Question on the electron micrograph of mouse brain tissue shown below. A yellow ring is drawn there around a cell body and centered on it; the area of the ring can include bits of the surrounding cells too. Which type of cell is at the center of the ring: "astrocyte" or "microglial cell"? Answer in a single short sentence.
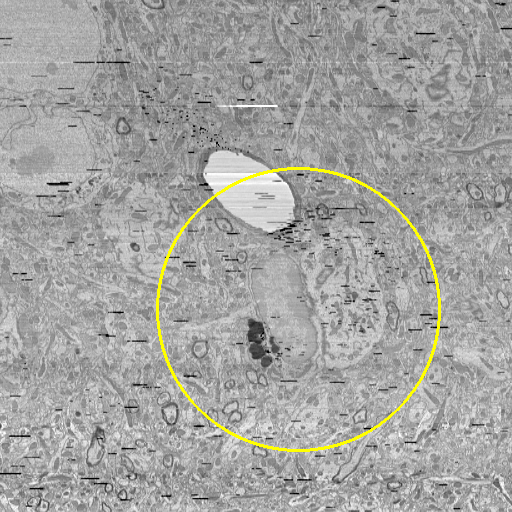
The ring is centered on a microglial cell.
